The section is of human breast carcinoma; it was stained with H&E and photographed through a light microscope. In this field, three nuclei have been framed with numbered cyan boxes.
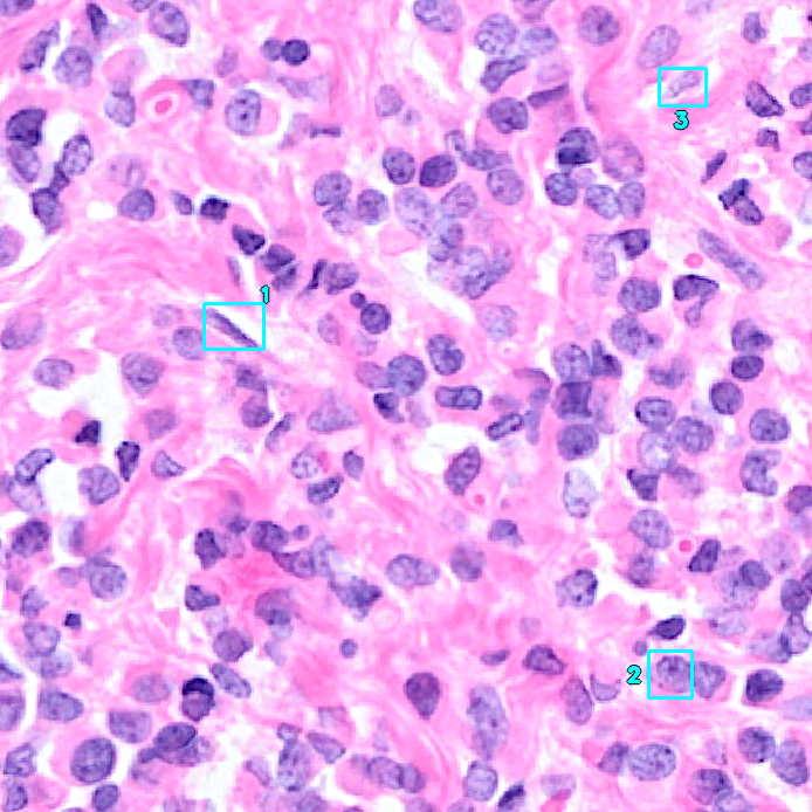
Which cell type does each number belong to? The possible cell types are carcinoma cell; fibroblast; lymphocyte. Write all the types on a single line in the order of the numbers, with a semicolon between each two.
fibroblast; carcinoma cell; fibroblast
